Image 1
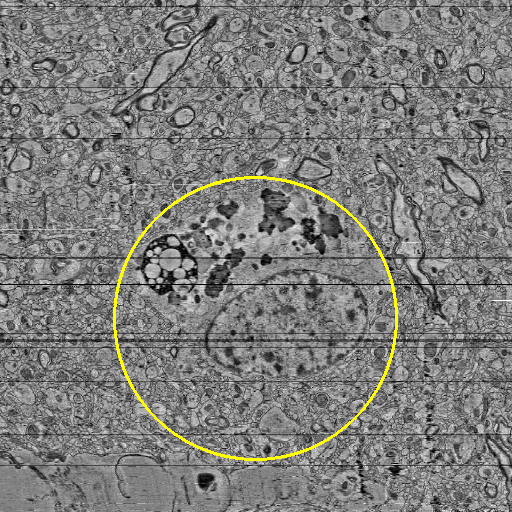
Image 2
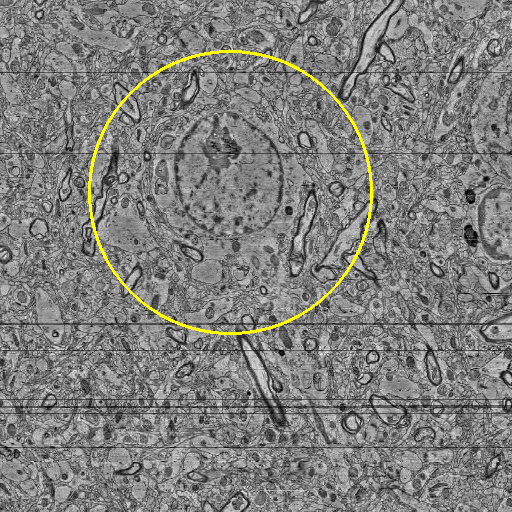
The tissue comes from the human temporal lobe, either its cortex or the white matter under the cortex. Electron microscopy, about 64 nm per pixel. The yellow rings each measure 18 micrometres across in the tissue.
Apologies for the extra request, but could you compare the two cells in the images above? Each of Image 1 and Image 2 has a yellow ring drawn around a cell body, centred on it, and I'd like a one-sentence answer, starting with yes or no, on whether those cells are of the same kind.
Yes, both cells are of the same kind.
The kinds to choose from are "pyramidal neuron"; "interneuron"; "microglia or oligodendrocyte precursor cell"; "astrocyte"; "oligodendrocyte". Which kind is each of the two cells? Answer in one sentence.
In both pictures the ring is centred on an astrocyte.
